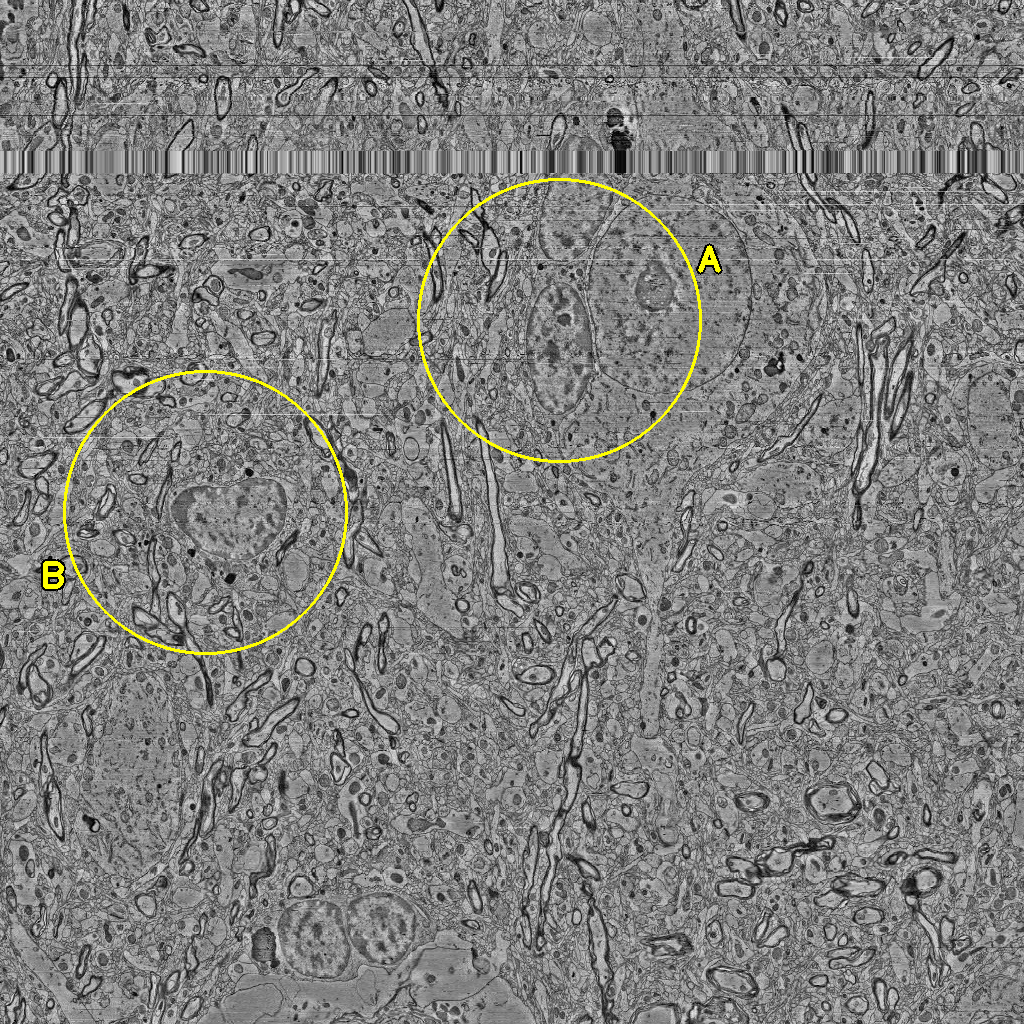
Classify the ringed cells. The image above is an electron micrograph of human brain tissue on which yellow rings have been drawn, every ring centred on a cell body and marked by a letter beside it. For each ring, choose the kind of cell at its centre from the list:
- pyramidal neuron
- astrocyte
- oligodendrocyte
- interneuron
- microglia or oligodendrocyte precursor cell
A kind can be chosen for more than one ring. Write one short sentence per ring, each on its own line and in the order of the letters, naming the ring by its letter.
Ring A is placed around an oligodendrocyte.
Ring B is placed around a microglial cell or oligodendrocyte precursor cell.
